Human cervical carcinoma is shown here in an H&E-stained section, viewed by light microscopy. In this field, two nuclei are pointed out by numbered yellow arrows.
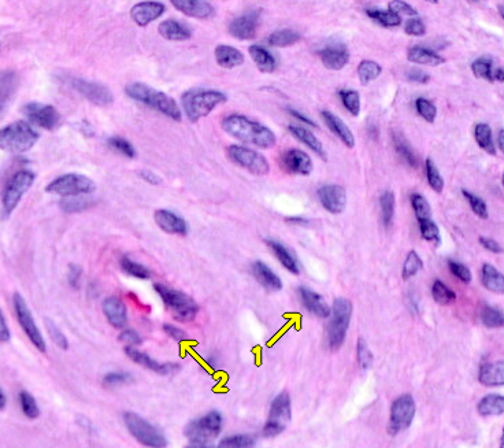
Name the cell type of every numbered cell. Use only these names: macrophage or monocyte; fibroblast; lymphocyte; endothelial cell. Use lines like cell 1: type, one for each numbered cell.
cell 1: fibroblast
cell 2: endothelial cell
